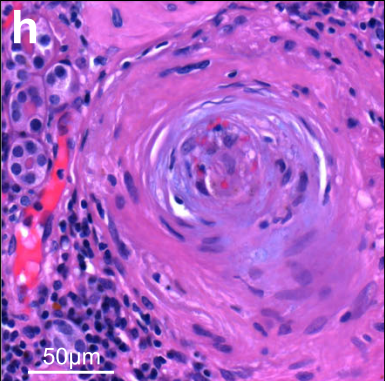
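A small artery in kidney tissue shows an onion-skin lesion: its wall is thickened by concentric layers of pink, elongated cells wrapped around a narrowed central lumen. The remaining lumen holds a few red blood cells and cell fragments, and inflammatory cells and a tubule lie beside the vessel.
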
